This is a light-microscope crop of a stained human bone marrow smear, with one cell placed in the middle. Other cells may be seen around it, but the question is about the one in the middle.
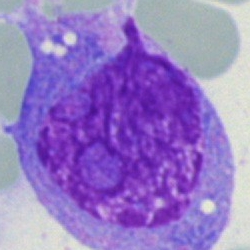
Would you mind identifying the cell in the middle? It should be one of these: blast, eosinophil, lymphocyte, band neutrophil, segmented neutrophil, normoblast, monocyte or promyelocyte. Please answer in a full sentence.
The cell at the central position in this crop is a blast.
